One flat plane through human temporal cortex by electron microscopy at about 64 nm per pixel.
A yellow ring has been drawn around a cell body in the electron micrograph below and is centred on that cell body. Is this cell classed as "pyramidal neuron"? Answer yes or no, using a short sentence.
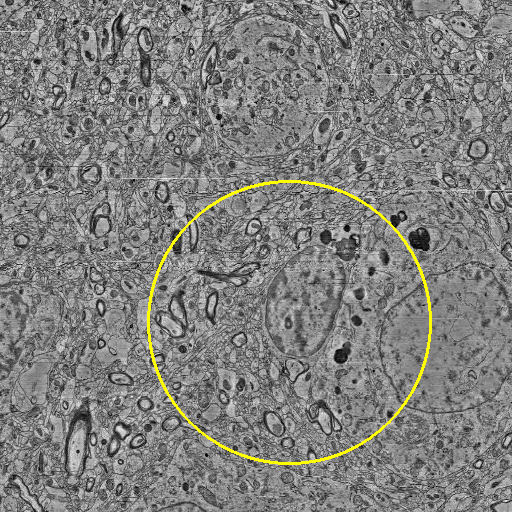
No, it is classed as another kind.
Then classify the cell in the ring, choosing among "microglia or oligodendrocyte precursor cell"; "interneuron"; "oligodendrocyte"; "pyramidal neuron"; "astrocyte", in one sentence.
The cell marked by the ring is an oligodendrocyte.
